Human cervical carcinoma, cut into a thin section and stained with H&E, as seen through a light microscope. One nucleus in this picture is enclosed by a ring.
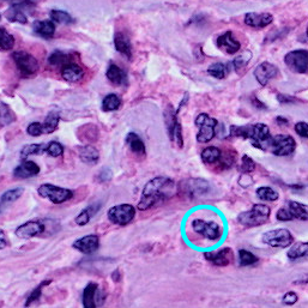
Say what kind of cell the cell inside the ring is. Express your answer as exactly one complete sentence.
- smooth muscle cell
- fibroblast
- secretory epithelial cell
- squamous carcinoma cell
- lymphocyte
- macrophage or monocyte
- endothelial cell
In cell-type terms, the cell inside the ring is a lymphocyte.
